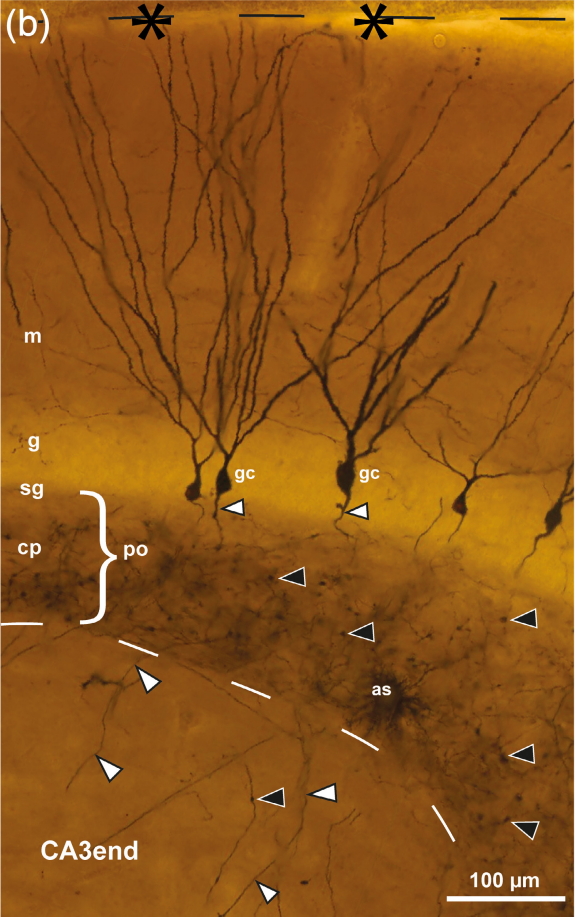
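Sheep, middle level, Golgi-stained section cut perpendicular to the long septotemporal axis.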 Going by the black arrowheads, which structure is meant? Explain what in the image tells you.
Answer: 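Mossy fiber giant terminals. Small dark swellings lie along thin fibers. They sit in the dense dark plexus below the granular layer and in the underlying area.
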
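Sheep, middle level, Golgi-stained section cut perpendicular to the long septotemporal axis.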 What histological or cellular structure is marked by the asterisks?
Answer: the hippocampal fissure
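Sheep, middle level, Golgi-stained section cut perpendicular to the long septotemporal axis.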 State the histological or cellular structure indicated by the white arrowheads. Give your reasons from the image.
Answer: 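Mossy fibers. Thin dark processes leave the base of the cell bodies in the granular layer. These processes run down through the polymorphic layer.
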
